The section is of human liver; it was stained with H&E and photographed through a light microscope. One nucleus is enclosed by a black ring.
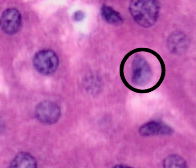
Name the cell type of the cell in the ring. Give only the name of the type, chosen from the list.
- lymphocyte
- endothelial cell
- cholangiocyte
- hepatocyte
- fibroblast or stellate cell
endothelial cell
